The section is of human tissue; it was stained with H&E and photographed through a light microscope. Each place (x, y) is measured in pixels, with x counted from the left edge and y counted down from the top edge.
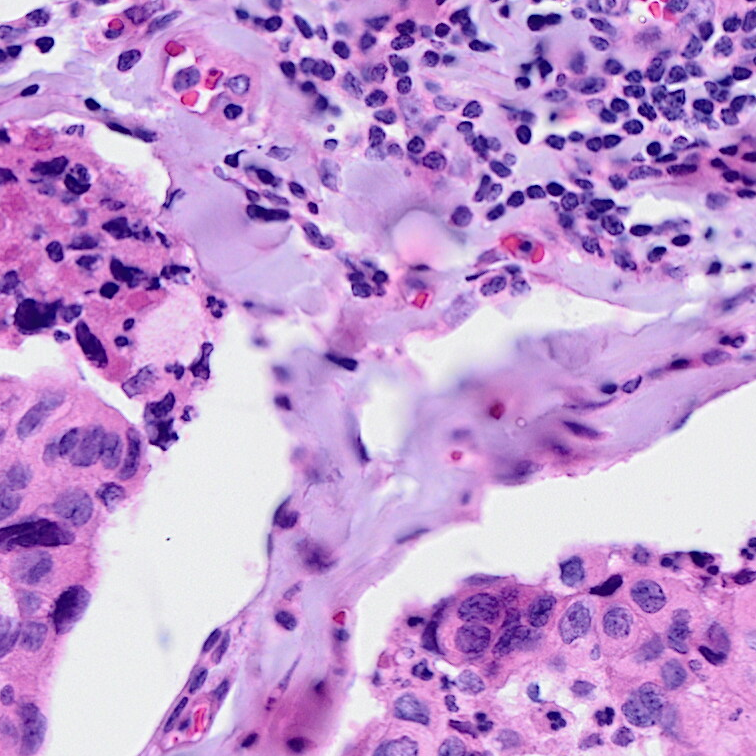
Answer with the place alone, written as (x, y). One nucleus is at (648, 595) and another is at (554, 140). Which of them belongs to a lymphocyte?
(554, 140)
